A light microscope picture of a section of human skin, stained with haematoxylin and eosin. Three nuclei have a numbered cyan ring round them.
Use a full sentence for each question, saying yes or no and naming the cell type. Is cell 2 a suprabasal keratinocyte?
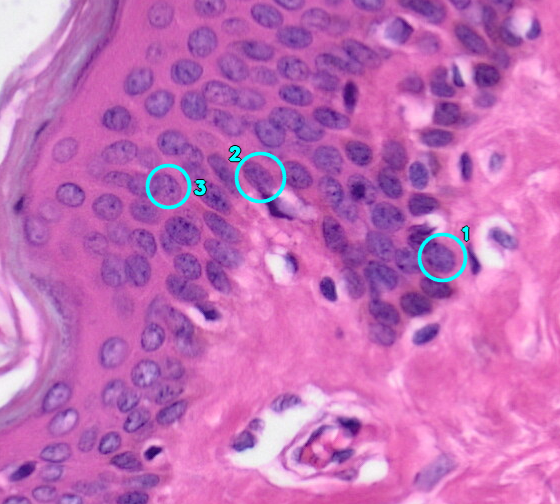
No, the cell numbered 2 is a basal keratinocyte rather than a suprabasal keratinocyte.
